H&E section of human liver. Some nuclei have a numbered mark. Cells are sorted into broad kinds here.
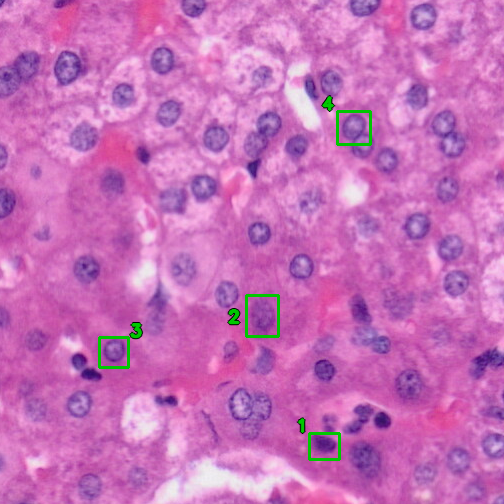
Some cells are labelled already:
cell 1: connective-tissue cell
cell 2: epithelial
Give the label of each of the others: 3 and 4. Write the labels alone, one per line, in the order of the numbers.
epithelial
epithelial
